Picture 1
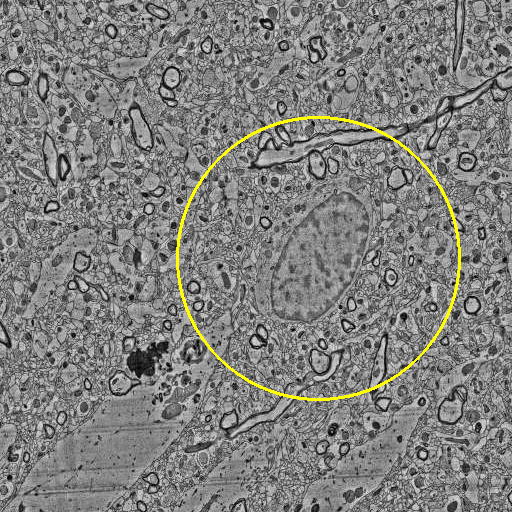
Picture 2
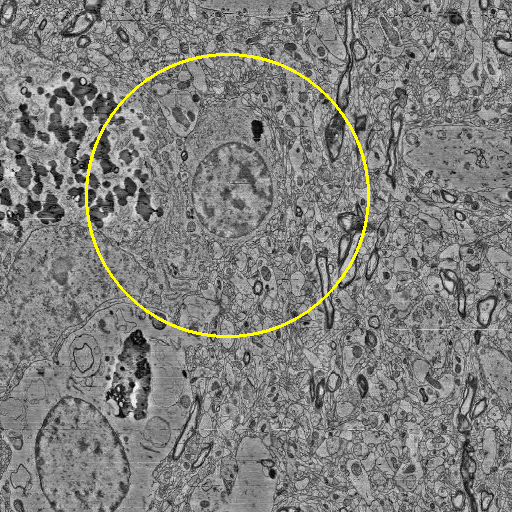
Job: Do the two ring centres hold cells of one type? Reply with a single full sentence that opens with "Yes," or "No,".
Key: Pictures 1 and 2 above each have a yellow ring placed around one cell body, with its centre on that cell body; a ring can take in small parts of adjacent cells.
Yes, the cells at the two ring centres are of one single type.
